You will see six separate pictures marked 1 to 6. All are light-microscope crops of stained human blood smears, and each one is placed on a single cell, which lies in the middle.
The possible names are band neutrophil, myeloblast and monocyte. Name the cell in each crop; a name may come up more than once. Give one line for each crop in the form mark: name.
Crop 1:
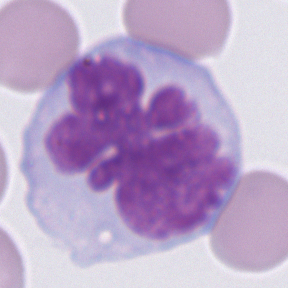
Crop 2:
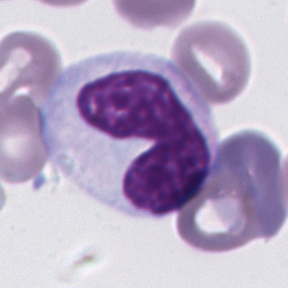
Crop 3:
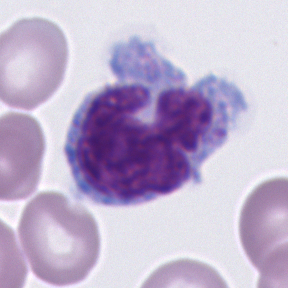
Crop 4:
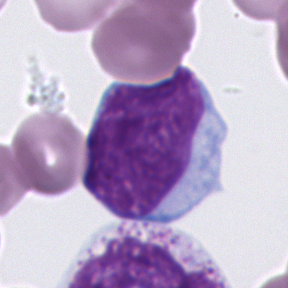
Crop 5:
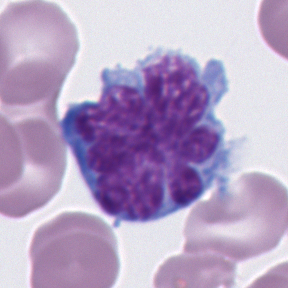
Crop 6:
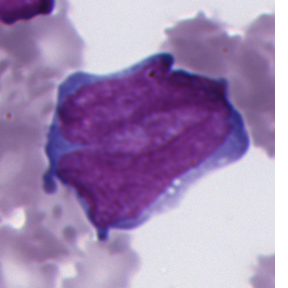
1: monocyte
2: band neutrophil
3: monocyte
4: myeloblast
5: monocyte
6: myeloblast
